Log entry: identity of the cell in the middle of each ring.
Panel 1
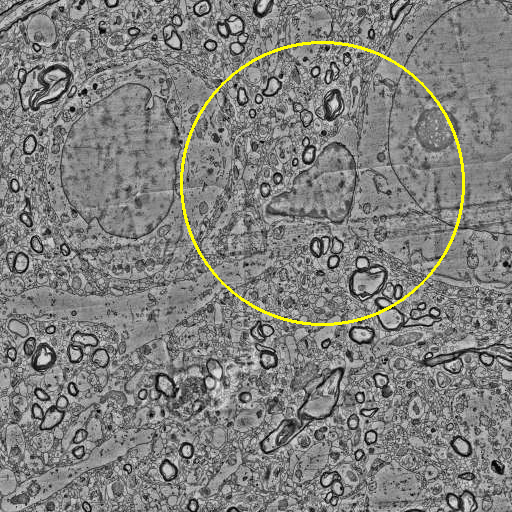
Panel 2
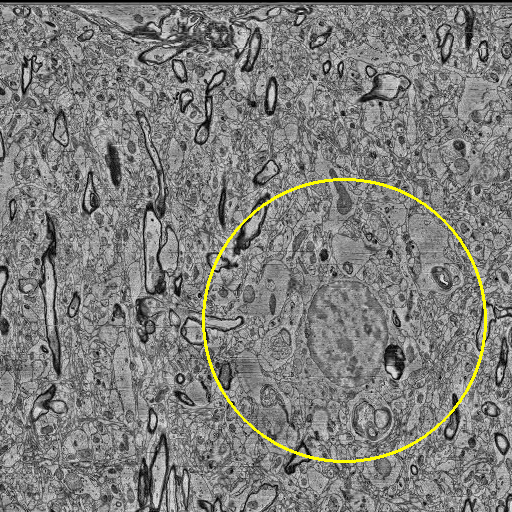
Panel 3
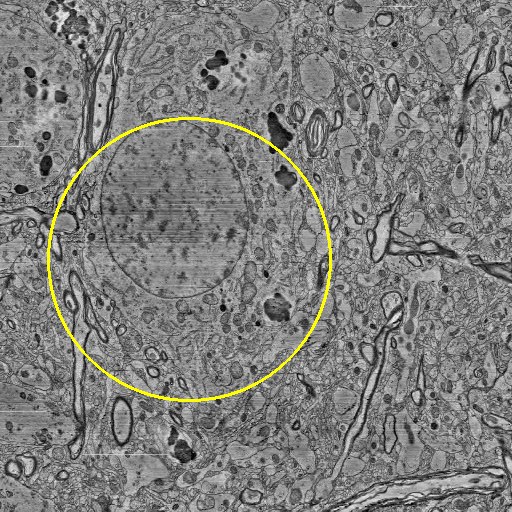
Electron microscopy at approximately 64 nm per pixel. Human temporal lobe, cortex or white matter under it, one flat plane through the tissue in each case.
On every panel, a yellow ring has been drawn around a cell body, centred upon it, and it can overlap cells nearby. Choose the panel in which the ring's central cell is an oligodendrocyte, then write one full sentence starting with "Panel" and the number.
Panel 2 shows the requested cell sitting in the middle of its ring.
